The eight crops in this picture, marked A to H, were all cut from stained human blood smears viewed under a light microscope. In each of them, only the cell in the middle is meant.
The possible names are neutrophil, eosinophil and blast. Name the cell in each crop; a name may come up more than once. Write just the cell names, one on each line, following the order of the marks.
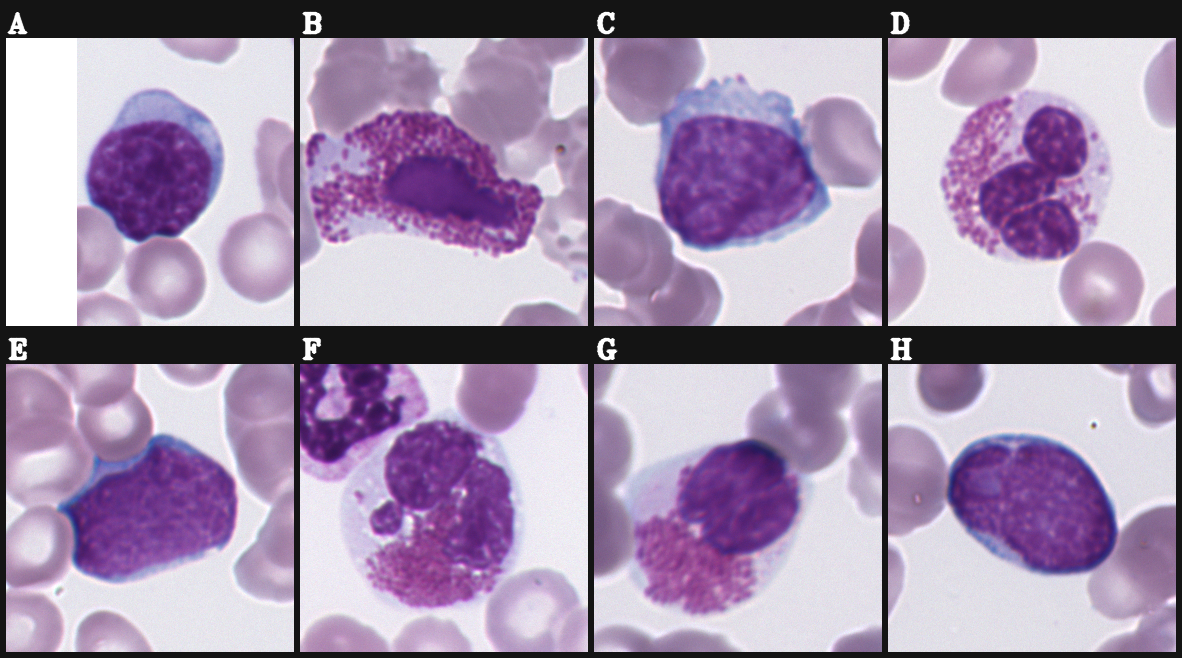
blast
eosinophil
blast
eosinophil
blast
eosinophil
eosinophil
blast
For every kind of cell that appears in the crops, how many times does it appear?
blast: 4
eosinophil: 4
